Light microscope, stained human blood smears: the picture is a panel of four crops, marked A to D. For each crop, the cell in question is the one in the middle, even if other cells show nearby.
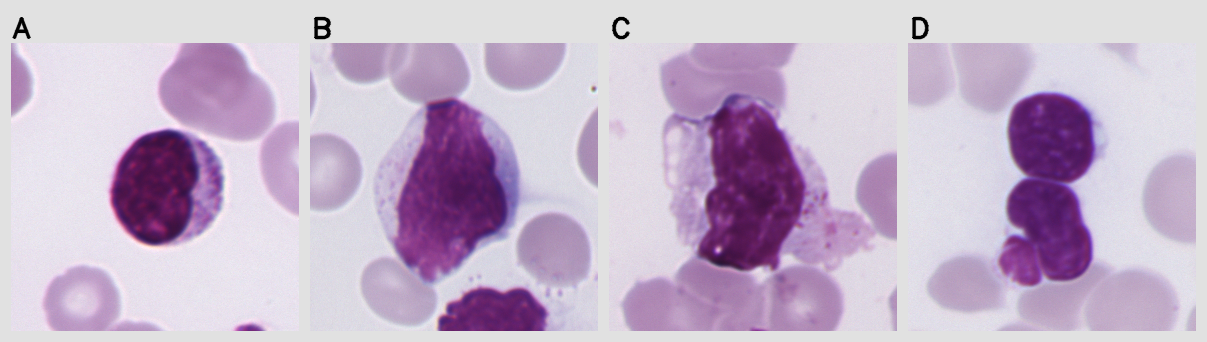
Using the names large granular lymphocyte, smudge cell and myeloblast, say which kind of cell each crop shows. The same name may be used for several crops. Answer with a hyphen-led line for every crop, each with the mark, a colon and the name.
- A: large granular lymphocyte
- B: large granular lymphocyte
- C: myeloblast
- D: myeloblast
